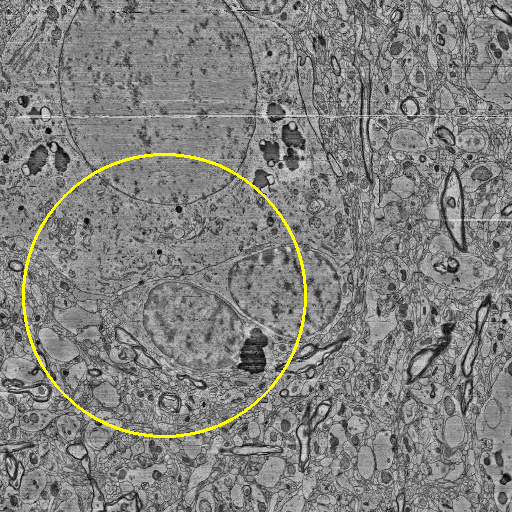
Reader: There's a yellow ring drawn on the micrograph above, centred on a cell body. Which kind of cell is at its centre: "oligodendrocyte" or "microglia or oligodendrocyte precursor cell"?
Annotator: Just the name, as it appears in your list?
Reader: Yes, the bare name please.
oligodendrocyte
